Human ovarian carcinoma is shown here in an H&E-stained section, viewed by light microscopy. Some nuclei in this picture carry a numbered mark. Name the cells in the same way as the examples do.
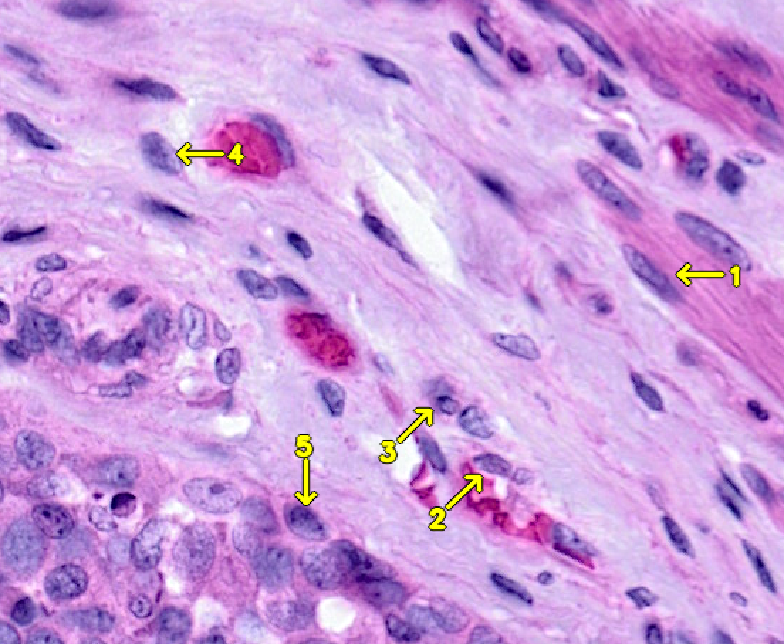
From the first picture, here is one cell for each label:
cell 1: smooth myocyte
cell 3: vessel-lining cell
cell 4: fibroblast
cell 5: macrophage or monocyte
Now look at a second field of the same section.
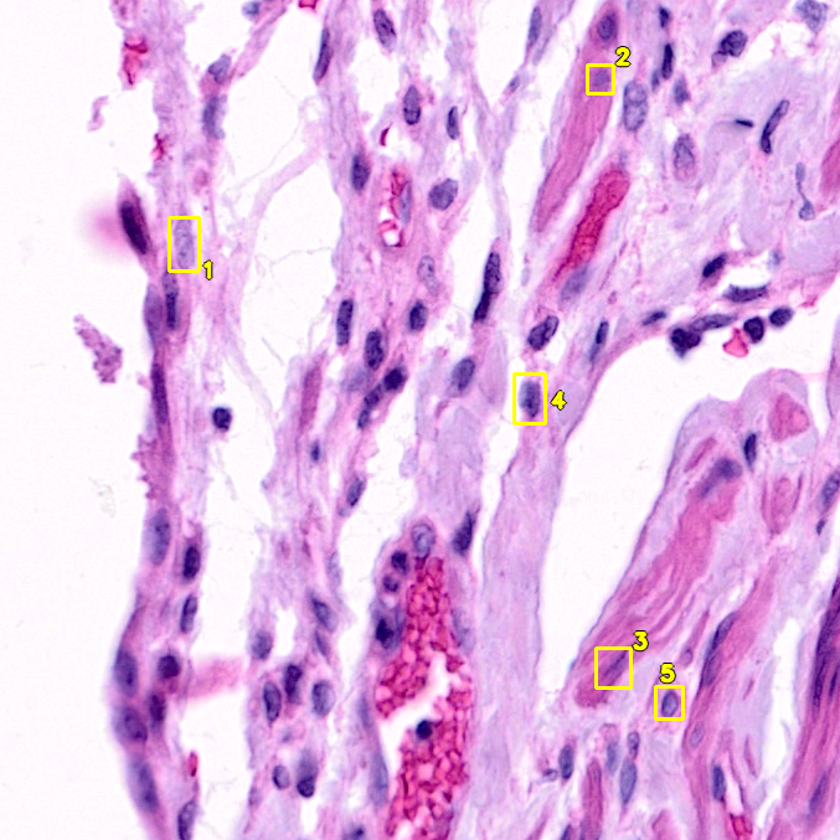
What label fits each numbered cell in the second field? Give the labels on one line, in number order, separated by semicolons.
fibroblast; smooth myocyte; smooth myocyte; macrophage or monocyte; vessel-lining cell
